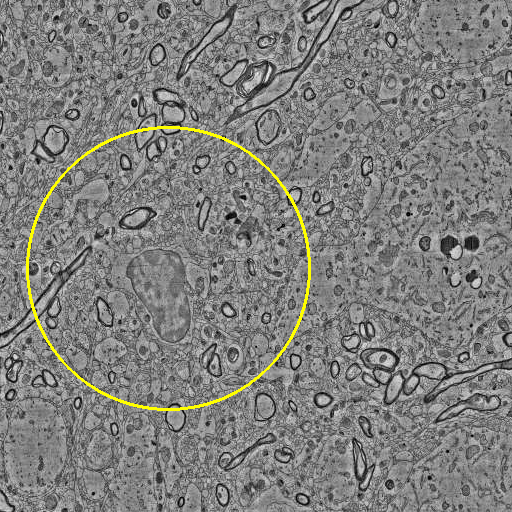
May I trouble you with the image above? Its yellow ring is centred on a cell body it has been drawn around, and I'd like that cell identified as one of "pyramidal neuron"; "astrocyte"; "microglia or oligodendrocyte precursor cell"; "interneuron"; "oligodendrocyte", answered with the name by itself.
microglia or oligodendrocyte precursor cell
